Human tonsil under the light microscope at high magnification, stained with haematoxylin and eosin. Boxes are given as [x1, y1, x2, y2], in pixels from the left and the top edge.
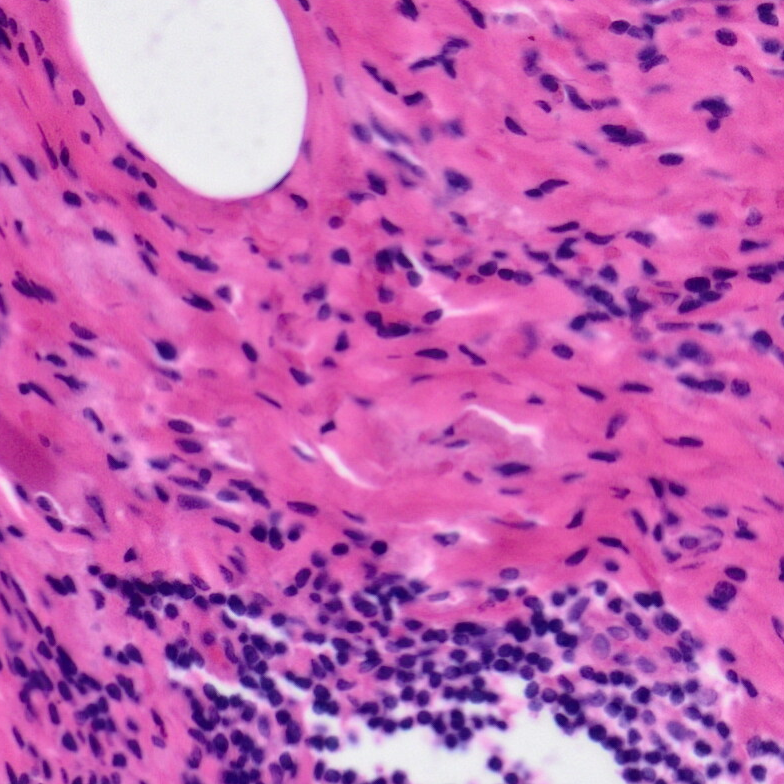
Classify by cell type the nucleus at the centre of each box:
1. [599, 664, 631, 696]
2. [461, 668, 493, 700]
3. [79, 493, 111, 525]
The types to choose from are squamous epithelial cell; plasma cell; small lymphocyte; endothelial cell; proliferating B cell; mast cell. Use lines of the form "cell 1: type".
cell 1: small lymphocyte
cell 2: small lymphocyte
cell 3: endothelial cell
